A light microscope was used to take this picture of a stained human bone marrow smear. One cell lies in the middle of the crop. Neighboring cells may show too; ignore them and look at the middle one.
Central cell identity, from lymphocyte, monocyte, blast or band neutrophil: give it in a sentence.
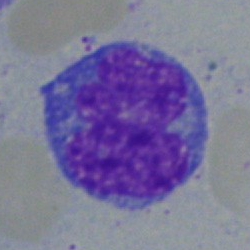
The cell shown in the center of this light-microscope crop is a monocyte.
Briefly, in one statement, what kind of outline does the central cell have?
Around its circumference, the cell has an uneven edge, ragged or projecting in places.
